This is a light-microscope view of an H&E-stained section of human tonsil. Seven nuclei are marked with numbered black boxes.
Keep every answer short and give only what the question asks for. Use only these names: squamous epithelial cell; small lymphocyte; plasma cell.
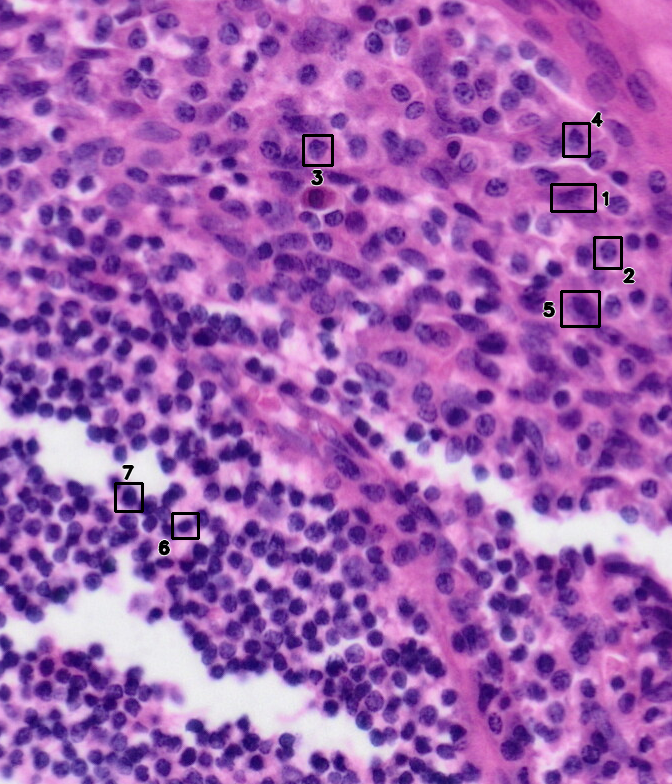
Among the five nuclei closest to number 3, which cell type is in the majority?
squamous epithelial cell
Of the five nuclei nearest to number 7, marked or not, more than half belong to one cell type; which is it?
small lymphocyte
